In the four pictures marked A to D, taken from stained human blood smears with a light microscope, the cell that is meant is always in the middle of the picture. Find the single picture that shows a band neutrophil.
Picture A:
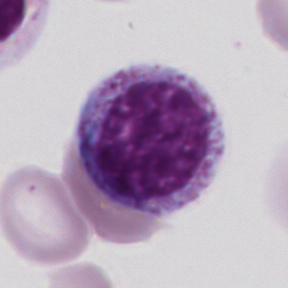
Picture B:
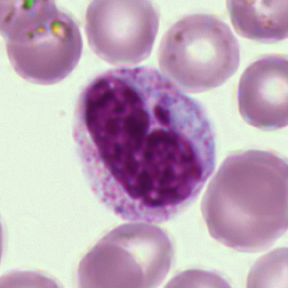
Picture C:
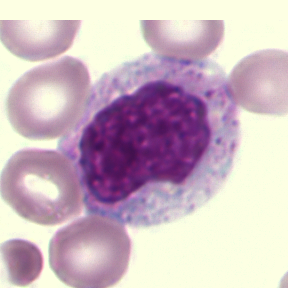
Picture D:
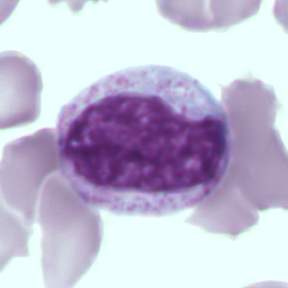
B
